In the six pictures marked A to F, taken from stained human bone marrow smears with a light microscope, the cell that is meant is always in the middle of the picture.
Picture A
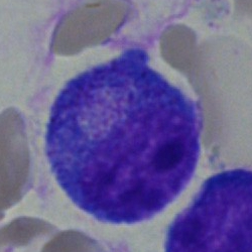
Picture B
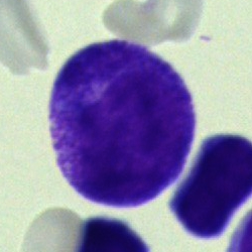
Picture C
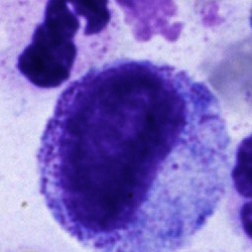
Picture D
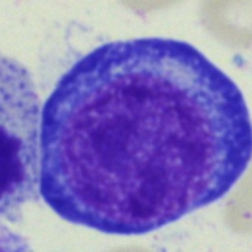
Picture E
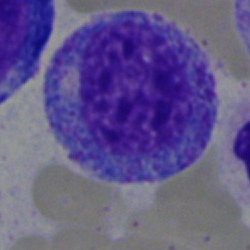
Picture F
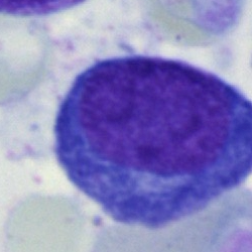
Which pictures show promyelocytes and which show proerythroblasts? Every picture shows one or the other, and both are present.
A: promyelocyte
B: promyelocyte
C: promyelocyte
D: proerythroblast
E: promyelocyte
F: proerythroblast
